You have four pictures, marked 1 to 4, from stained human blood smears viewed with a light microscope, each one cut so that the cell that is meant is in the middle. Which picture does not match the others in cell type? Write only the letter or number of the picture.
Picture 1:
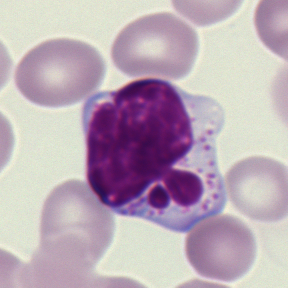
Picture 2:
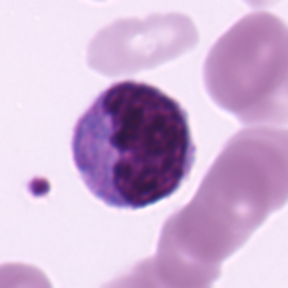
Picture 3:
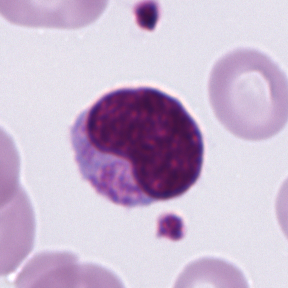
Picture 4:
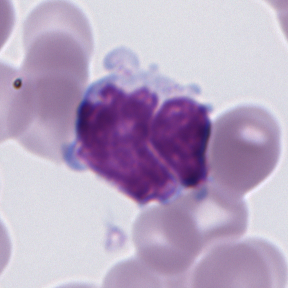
2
